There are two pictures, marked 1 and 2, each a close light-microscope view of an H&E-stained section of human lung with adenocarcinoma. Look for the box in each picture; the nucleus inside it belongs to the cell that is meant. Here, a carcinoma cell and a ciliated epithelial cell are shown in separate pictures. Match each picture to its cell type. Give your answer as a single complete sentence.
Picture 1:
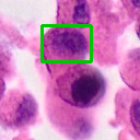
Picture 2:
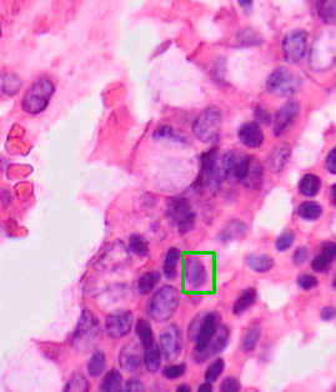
It is picture 1 that shows a carcinoma cell, and picture 2 that shows a ciliated epithelial cell.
